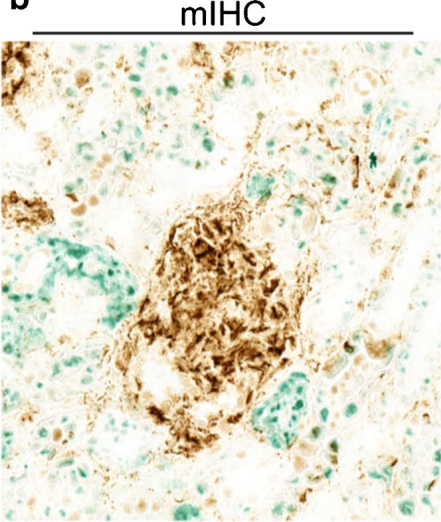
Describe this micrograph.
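Kidney section with a central glomerulus surrounded by tubules. The glomerular tuft is a round, compact mass stained densely brown in a meshwork pattern. Around it lie tubular profiles whose lining epithelial cells are stained cyan, some strongly and some faintly. The background tissue between tubules is pale with scattered brown-stained cells.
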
